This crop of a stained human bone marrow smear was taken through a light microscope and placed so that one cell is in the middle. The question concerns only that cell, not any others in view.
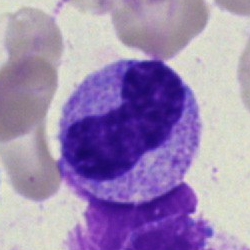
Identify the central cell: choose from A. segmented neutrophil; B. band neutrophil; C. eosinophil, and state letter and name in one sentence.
The centered cell is a band neutrophil, which is why option B is right.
